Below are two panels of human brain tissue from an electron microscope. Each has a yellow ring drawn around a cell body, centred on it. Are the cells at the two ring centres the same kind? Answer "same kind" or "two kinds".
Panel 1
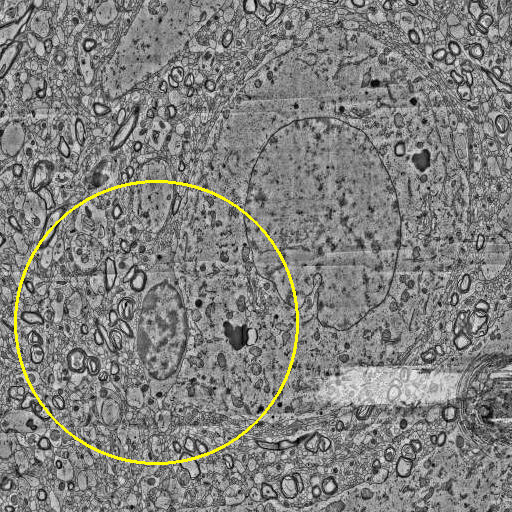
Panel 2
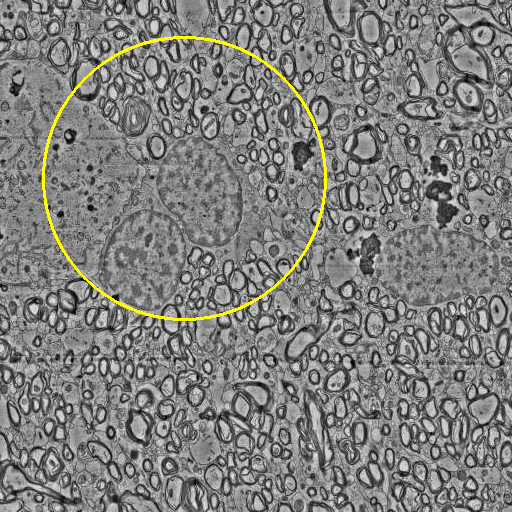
same kind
